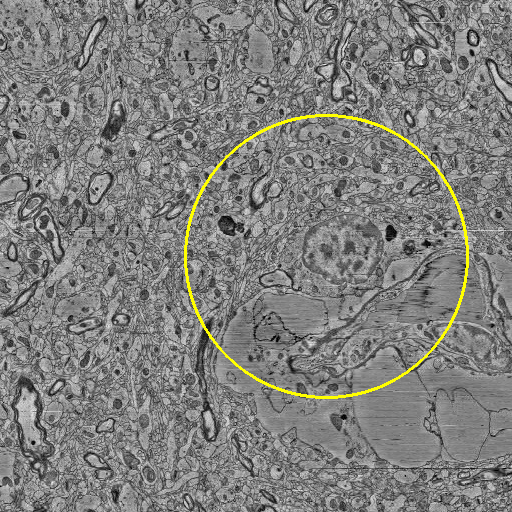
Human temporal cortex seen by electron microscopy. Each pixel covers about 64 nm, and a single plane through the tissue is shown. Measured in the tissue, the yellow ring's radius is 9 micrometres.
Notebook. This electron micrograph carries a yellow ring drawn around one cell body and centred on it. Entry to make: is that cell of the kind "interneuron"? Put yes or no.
no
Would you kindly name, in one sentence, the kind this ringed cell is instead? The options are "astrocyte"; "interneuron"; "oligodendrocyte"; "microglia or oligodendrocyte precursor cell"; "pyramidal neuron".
Instead, the ring in this picture marks an oligodendrocyte.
